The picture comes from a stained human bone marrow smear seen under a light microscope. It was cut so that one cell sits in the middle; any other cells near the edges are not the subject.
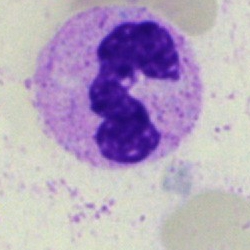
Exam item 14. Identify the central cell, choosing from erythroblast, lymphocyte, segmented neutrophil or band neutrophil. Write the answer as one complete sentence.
Here the centrally located cell is a segmented neutrophil.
